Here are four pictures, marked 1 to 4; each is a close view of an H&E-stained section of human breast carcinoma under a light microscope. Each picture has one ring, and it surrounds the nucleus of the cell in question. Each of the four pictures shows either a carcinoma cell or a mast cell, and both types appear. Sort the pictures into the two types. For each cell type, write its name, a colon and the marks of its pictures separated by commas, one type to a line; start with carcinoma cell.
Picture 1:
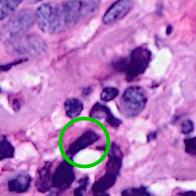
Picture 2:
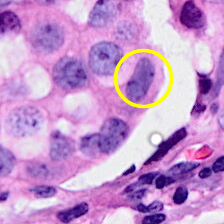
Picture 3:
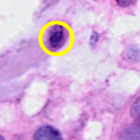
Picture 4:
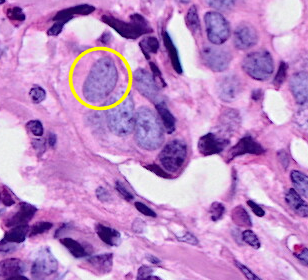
carcinoma cell: 1, 2, 4
mast cell: 3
